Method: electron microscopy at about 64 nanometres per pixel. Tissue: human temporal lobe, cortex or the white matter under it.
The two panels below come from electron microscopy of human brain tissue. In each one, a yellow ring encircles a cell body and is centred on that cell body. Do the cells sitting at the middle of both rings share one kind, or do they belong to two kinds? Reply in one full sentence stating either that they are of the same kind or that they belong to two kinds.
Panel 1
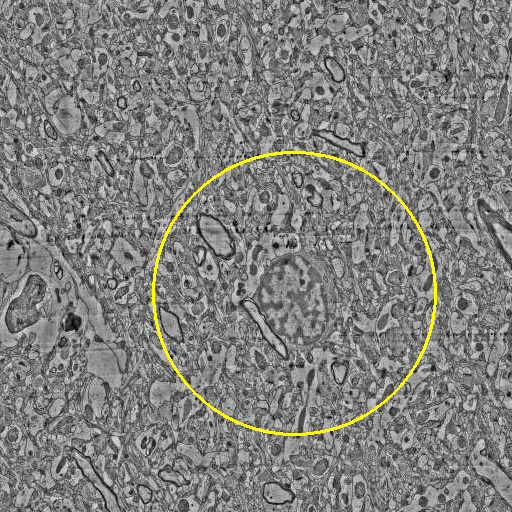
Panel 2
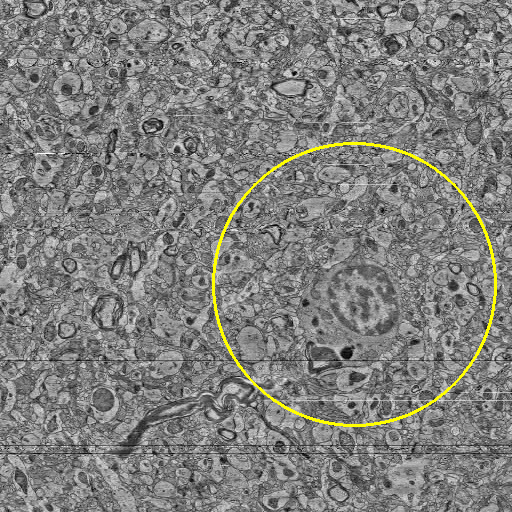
The cells at the centres of the two rings are of the same kind.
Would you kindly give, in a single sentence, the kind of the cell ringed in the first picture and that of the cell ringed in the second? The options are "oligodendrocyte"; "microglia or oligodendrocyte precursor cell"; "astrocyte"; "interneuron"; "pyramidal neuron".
Both rings mark an oligodendrocyte, one in each picture.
